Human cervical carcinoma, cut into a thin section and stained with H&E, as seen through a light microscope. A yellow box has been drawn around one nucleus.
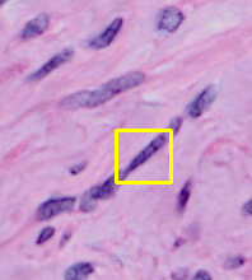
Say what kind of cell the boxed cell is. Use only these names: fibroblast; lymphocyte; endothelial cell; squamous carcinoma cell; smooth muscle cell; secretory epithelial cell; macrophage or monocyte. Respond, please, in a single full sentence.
In this field of tissue, the boxed cell is a fibroblast.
